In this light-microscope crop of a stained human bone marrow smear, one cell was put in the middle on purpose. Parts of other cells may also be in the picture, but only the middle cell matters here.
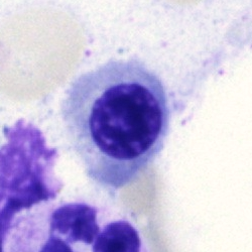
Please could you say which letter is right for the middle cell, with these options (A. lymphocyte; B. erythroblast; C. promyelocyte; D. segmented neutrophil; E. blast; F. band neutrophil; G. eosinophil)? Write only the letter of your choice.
B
